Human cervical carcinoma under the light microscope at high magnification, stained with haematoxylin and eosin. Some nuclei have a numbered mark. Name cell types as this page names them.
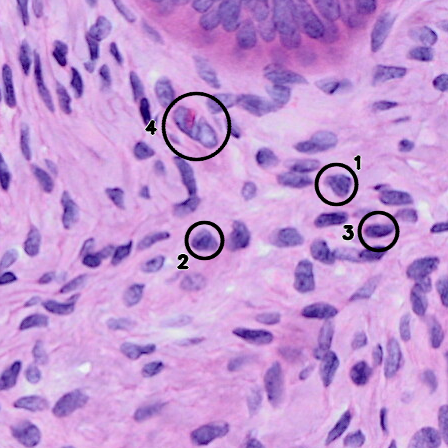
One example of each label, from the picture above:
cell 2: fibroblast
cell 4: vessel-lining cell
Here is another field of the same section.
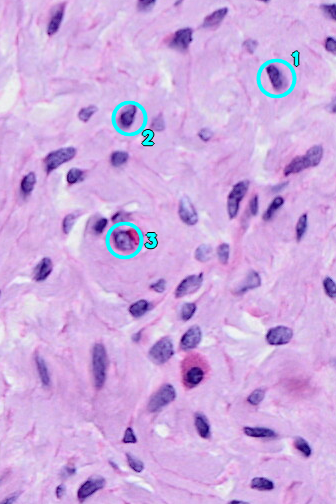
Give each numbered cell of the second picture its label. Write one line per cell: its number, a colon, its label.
1: fibroblast
2: fibroblast
3: vessel-lining cell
